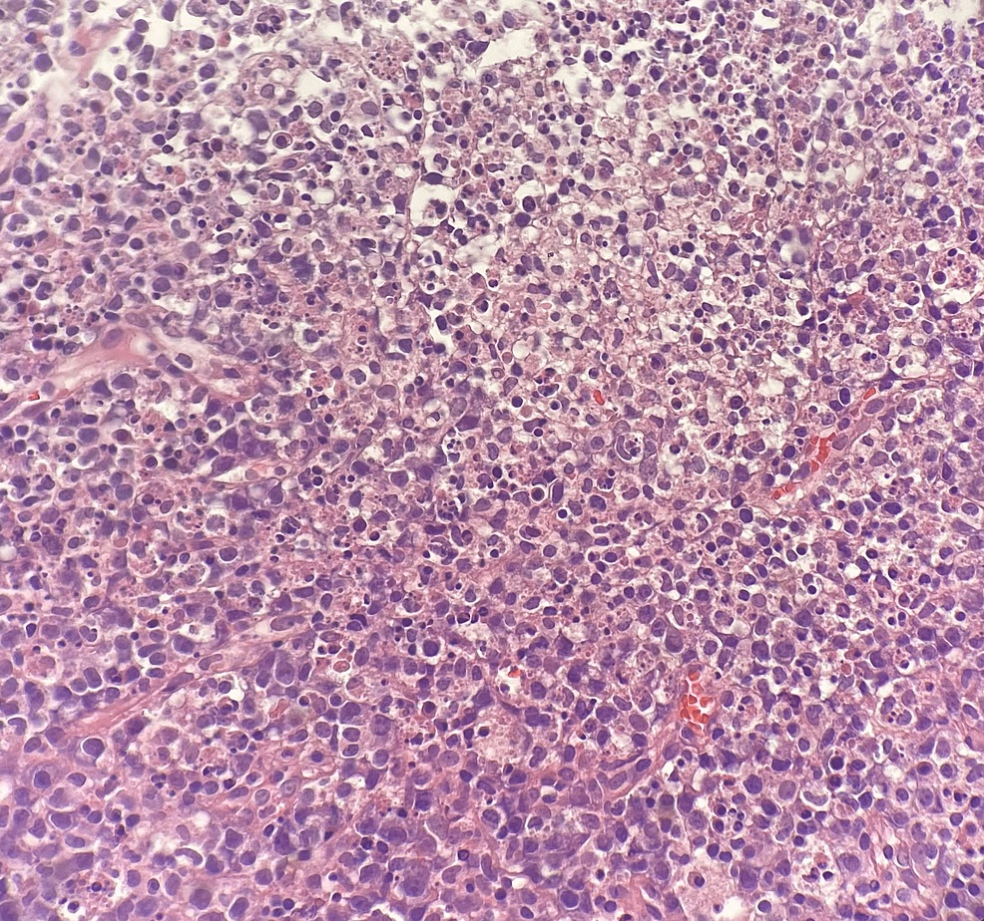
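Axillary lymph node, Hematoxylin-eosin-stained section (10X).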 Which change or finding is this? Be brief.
Karyorrhectic debris.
